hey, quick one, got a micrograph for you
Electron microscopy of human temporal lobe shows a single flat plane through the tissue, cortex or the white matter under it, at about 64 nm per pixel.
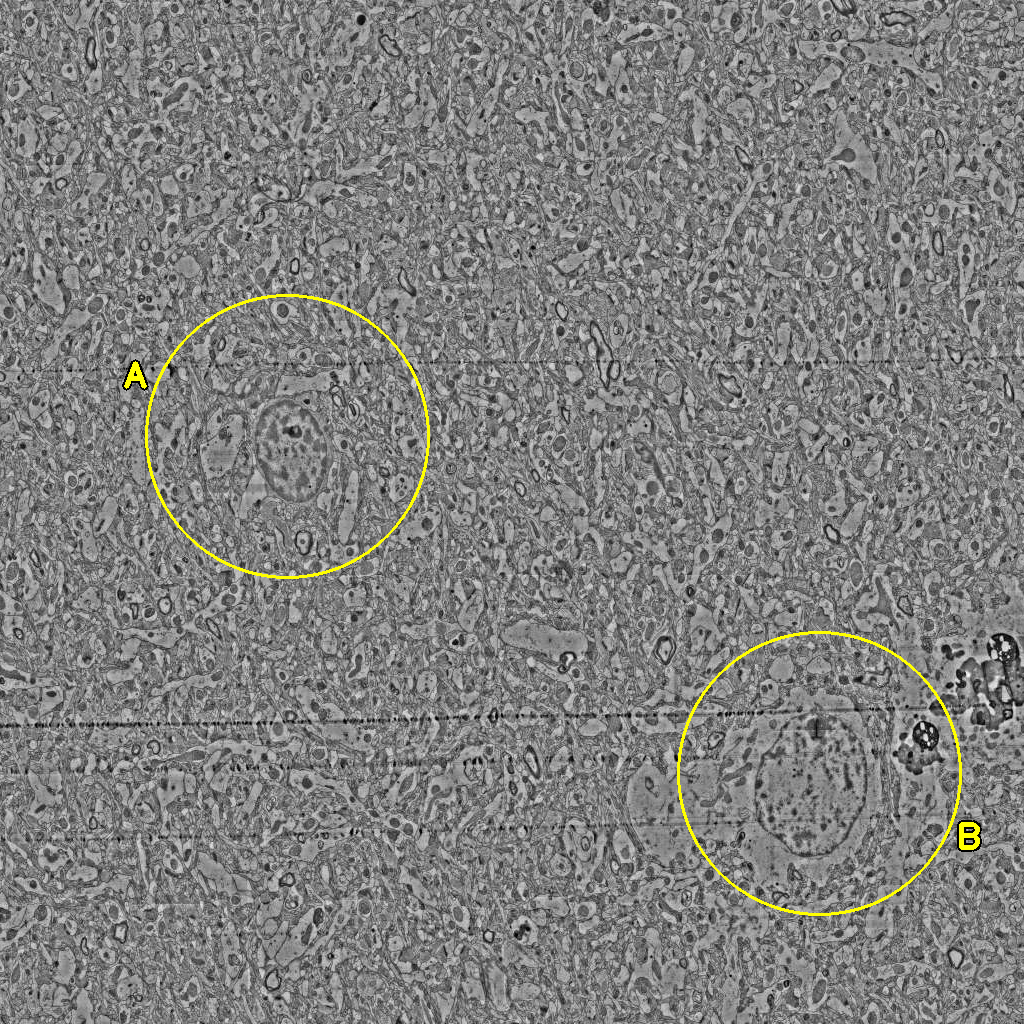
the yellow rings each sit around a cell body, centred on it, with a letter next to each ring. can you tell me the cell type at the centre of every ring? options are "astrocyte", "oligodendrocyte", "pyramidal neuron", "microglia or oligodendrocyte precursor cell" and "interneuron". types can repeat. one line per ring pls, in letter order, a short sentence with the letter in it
Ring A goes around an oligodendrocyte.
Ring B goes around an astrocyte.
